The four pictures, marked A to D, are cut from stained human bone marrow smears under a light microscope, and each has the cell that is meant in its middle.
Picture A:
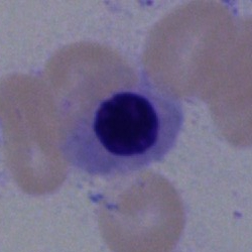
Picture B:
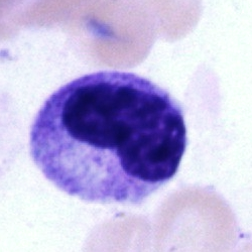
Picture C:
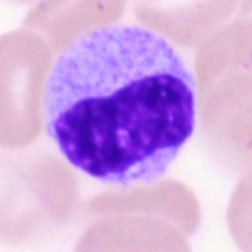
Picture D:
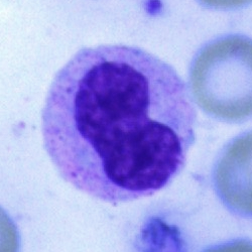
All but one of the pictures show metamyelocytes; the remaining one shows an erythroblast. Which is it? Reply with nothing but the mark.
A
